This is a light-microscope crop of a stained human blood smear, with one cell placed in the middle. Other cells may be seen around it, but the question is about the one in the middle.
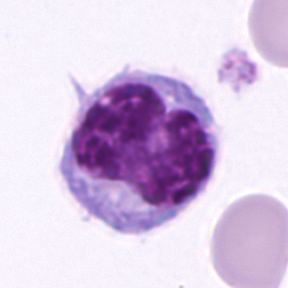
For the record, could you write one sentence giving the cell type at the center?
Located at the centre of the crop is a plasma cell.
